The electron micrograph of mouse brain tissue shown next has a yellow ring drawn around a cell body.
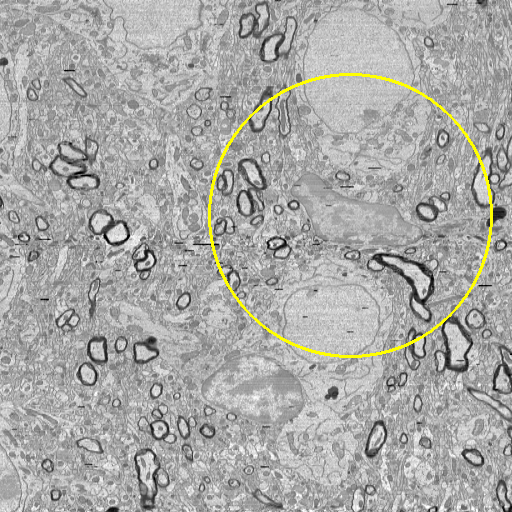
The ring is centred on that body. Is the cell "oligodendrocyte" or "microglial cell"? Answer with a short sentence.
The cell in question is a microglial cell.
